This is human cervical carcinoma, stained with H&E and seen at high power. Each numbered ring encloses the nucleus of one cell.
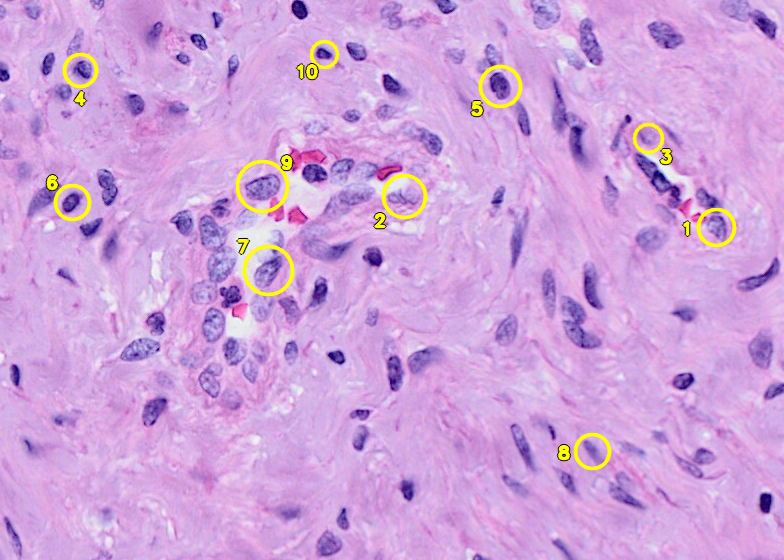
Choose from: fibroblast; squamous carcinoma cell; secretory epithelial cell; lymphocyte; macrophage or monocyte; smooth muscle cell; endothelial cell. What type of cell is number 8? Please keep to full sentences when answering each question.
What the number 8 marks in this field is a fibroblast.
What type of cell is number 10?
The nucleus marked 10 is the nucleus of a fibroblast.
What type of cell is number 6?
Cell 6, among those numbered, is a fibroblast.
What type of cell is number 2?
The one labeled 2 is an endothelial cell, to put it simply.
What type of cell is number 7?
In this section, the cell numbered 7 is an endothelial cell.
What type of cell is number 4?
The cell indicated with the number 4 is classed as a fibroblast.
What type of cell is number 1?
The cell pointed out by number 1 is an endothelial cell.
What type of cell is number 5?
Within this field of view, the cell labelled 5 is a lymphocyte.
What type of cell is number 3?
The numeral 3 marks an endothelial cell in this section.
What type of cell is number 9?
Cell number 9 in this section is an endothelial cell.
